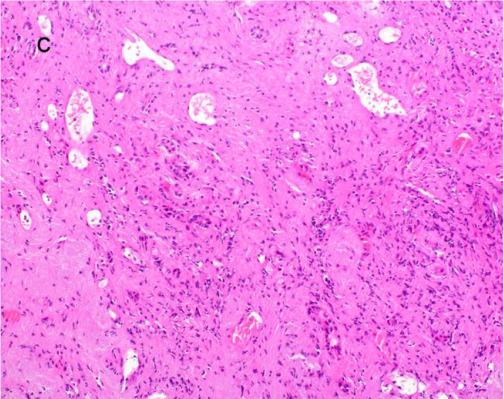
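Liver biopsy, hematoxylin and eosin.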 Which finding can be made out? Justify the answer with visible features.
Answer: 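Loss of hepatocytes. The field is pink fibrous stroma with scattered spindle nuclei. Many small, thin-walled vascular channels lie in the stroma. No plates of polygonal cells with abundant pink cytoplasm are present.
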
